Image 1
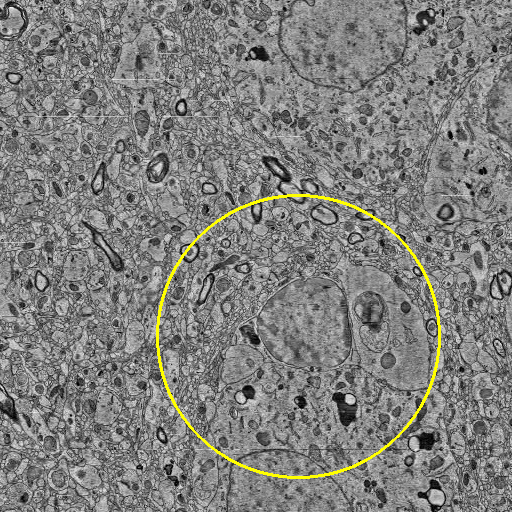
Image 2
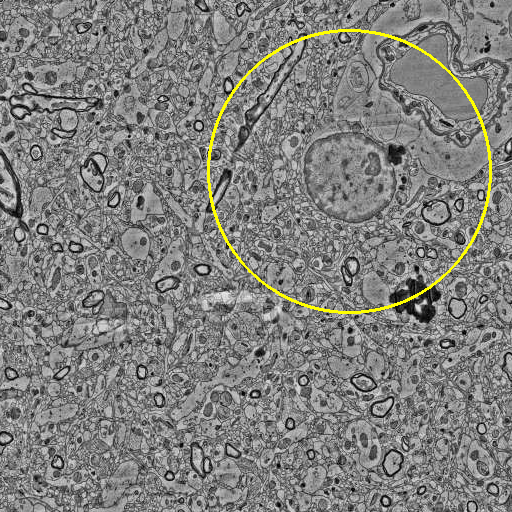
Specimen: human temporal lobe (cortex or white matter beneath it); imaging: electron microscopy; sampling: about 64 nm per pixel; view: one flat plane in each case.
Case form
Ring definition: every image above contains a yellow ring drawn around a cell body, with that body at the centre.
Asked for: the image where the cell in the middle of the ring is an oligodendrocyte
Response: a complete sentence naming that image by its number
Image 2 is the one.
